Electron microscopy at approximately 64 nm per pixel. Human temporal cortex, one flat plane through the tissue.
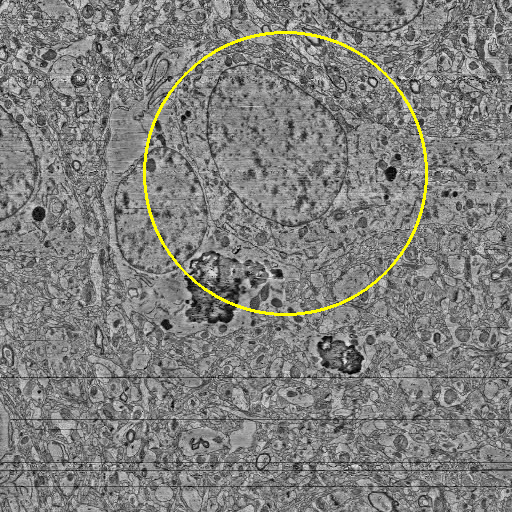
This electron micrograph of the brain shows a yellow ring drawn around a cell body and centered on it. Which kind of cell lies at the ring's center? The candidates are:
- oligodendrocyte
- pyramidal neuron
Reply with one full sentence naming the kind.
The cell lying at the ring's center in this micrograph is a pyramidal neuron.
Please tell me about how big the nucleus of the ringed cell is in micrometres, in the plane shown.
The nucleus works out at approximately 11 by 9 micrometres in this plane.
